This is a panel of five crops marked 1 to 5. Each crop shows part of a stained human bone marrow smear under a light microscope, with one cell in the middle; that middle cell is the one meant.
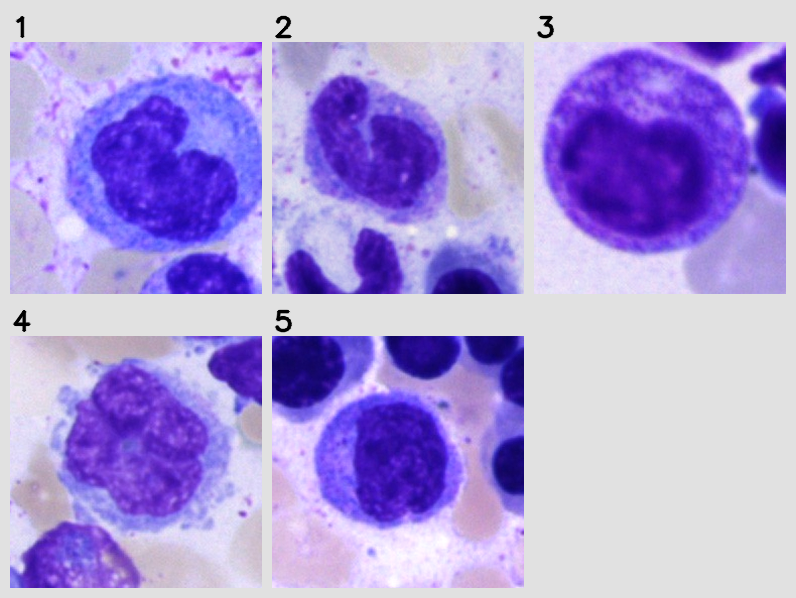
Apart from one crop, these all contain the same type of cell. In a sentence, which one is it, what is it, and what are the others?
Found in all crops but one are monocytes; the exception, crop 3, contains a promyelocyte.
